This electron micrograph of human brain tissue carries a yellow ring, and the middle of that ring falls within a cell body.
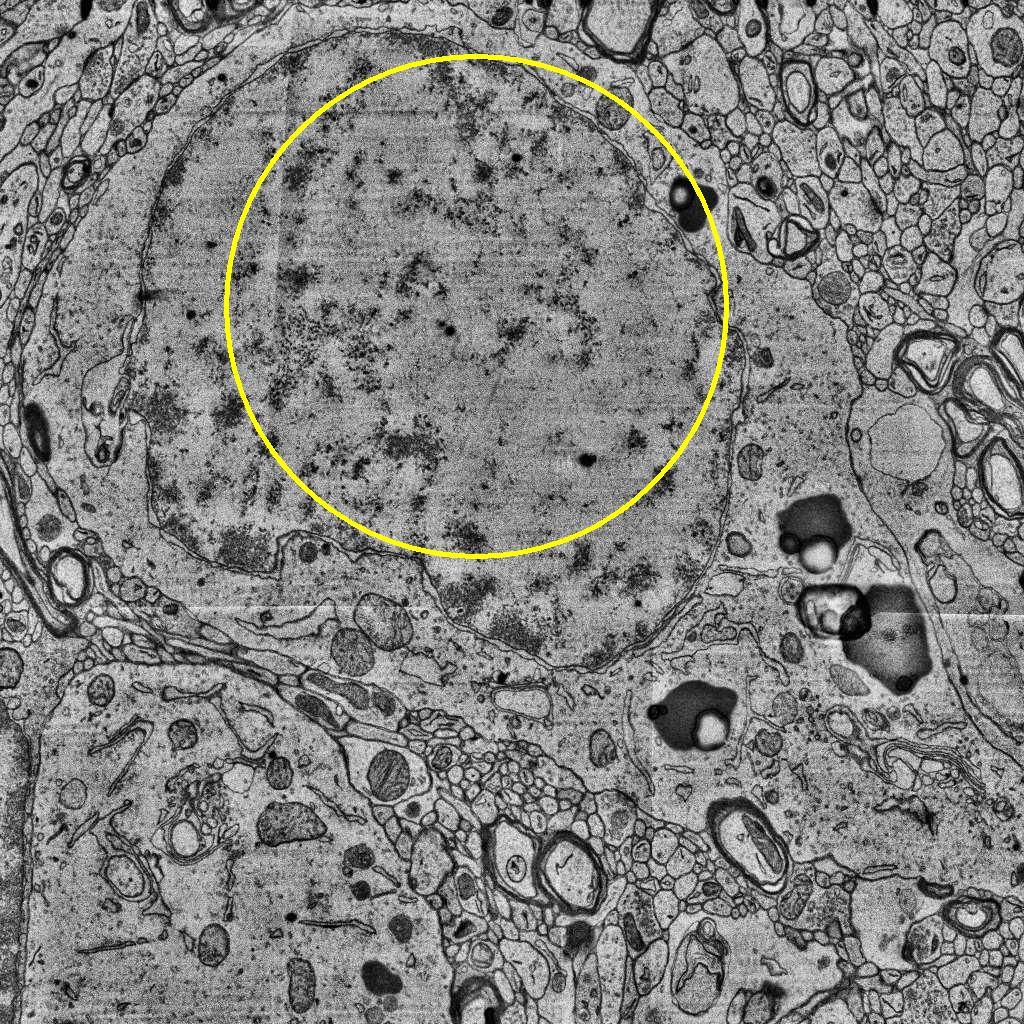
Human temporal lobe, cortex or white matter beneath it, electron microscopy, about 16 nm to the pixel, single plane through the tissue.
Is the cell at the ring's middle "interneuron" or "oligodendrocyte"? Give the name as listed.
interneuron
